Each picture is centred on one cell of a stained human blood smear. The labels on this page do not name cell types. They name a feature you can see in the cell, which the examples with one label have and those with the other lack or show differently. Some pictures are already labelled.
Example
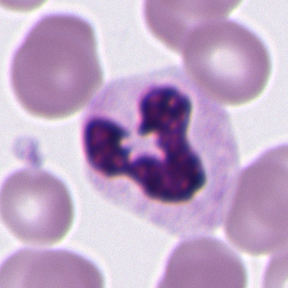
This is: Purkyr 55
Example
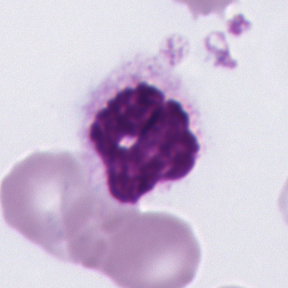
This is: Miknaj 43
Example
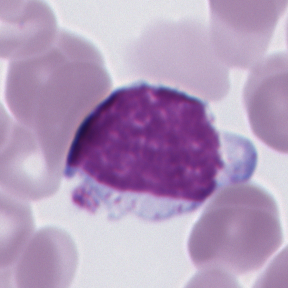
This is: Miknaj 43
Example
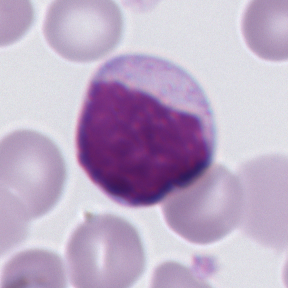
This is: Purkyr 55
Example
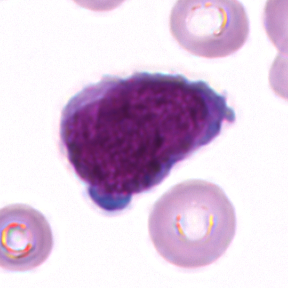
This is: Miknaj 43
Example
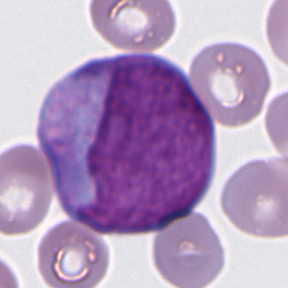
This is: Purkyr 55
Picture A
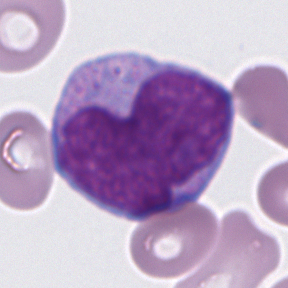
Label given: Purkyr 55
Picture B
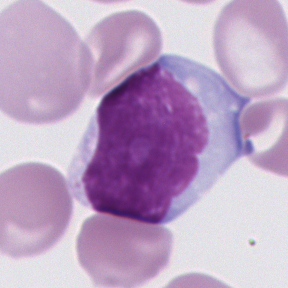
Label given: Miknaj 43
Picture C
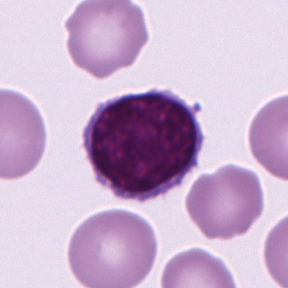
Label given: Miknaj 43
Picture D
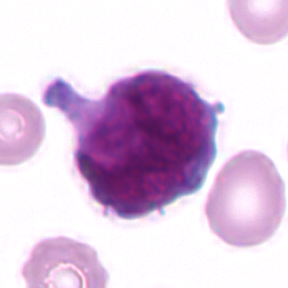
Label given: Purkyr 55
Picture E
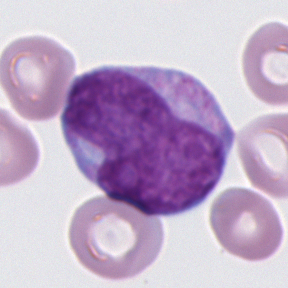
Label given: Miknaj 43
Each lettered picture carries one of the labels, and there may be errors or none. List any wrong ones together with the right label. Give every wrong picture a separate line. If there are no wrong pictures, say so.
D is labelled Purkyr 55; correct label: Miknaj 43
E is labelled Miknaj 43; correct label: Purkyr 55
